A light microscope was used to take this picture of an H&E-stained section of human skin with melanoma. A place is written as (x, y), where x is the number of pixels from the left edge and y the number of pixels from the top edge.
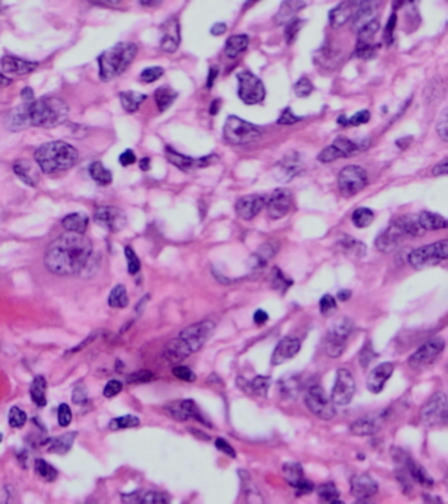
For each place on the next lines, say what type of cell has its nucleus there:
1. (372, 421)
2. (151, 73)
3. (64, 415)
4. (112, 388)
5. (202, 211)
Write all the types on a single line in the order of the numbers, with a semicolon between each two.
melanoma cell; lymphocyte; lymphocyte; lymphocyte; melanoma cell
